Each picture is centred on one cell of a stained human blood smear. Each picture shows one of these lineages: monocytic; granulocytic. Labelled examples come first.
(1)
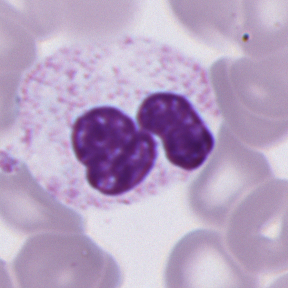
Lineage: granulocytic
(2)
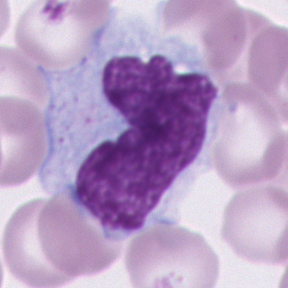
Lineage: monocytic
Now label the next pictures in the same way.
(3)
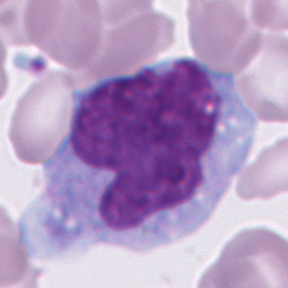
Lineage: monocytic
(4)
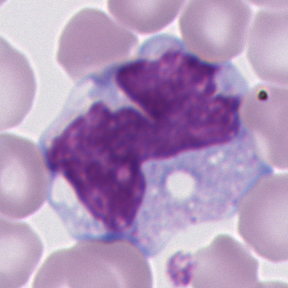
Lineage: monocytic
